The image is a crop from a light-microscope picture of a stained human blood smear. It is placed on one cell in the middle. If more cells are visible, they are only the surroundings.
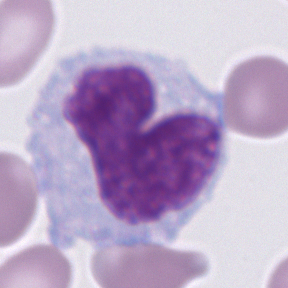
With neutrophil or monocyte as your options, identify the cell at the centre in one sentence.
The cell nearest the centre of this crop is a monocyte.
